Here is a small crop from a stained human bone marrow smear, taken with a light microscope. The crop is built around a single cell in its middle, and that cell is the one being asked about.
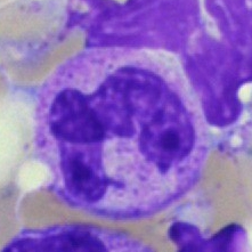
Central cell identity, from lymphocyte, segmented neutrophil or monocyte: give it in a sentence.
The cell of interest, located centrally, is a segmented neutrophil.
